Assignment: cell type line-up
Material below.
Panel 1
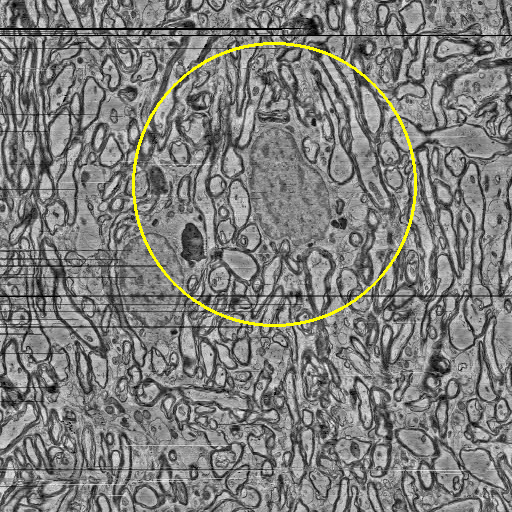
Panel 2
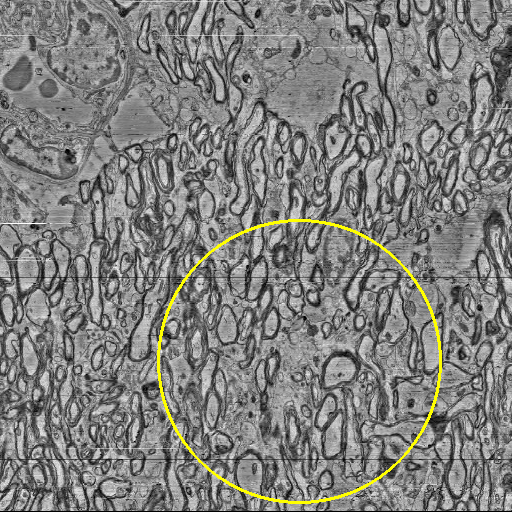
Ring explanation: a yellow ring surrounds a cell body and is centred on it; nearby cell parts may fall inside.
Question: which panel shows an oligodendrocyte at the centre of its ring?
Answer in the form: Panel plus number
Panel 1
